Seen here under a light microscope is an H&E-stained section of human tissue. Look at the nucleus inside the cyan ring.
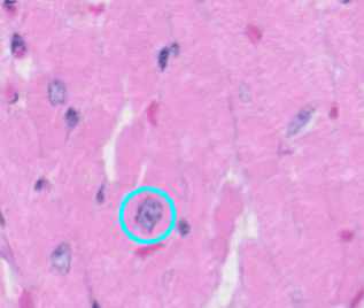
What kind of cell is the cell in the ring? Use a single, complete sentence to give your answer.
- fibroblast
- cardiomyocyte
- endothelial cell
It is a cardiomyocyte that the cell in the ring represents.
